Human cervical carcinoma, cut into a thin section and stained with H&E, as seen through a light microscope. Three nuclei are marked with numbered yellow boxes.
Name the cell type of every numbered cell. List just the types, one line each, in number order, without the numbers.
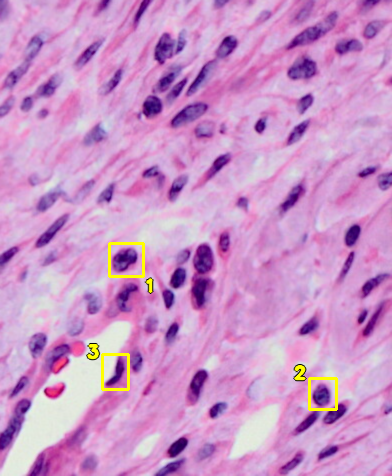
lymphocyte
lymphocyte
endothelial cell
